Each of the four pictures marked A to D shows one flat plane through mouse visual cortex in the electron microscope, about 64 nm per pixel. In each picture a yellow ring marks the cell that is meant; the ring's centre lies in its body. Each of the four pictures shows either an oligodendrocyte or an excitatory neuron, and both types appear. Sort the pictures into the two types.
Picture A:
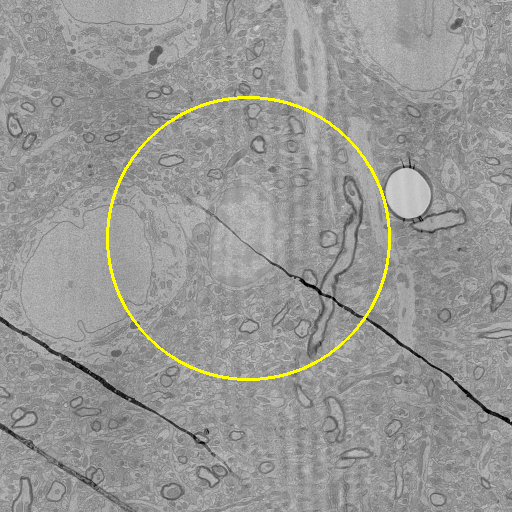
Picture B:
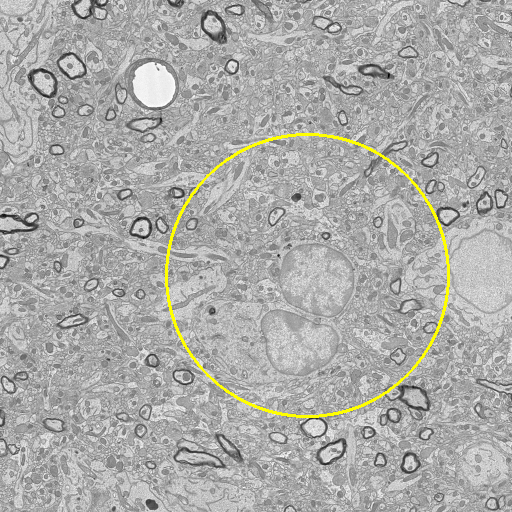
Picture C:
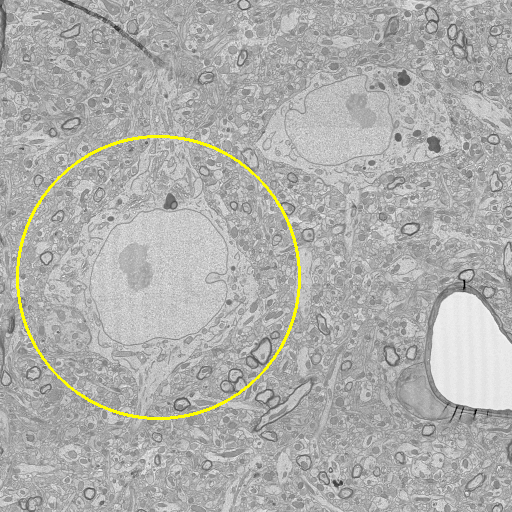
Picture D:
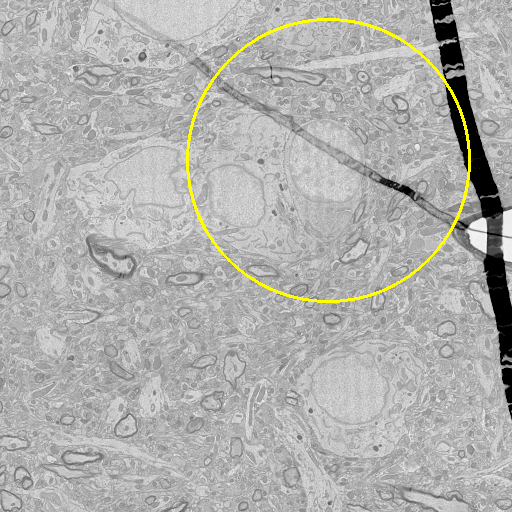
Pictures A, B and D show oligodendrocytes; picture C shows an excitatory neuron.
